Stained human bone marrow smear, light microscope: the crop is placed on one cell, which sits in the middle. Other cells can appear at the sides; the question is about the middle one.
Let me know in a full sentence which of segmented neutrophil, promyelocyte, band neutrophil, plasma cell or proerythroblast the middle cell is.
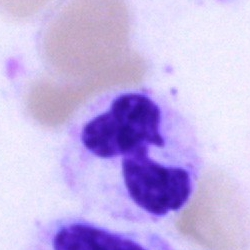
The cell featured at the centre of this crop is a segmented neutrophil.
